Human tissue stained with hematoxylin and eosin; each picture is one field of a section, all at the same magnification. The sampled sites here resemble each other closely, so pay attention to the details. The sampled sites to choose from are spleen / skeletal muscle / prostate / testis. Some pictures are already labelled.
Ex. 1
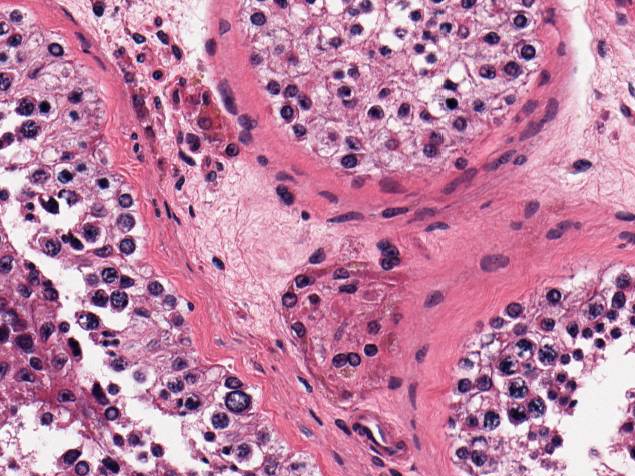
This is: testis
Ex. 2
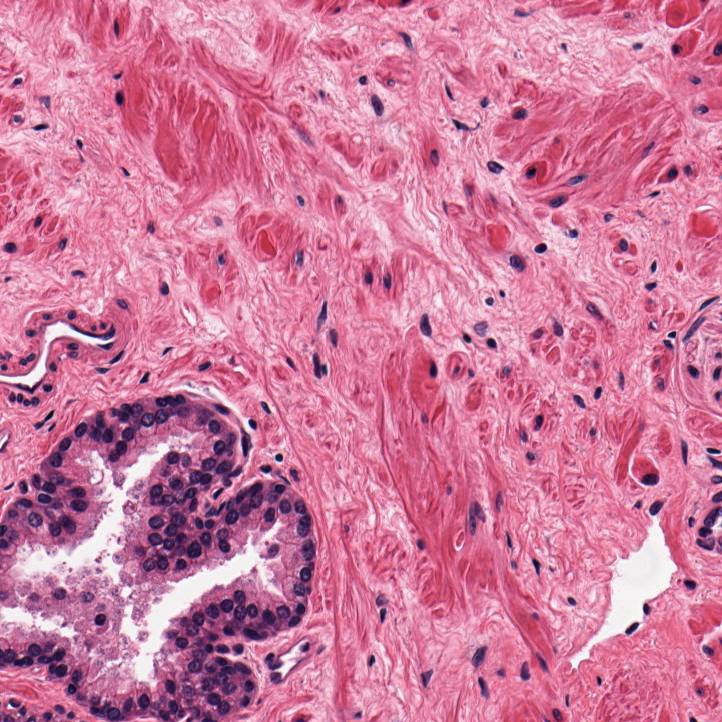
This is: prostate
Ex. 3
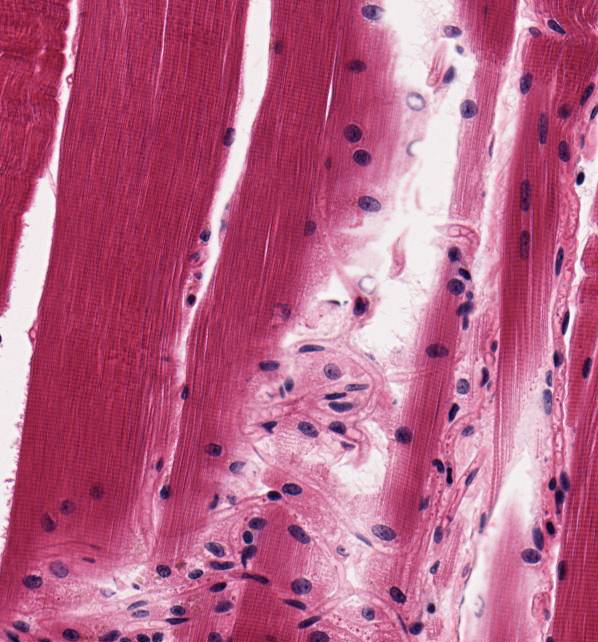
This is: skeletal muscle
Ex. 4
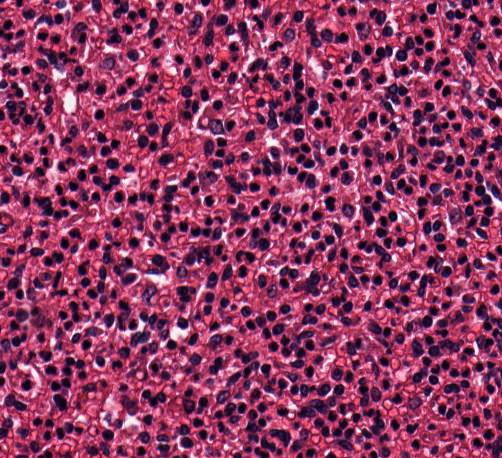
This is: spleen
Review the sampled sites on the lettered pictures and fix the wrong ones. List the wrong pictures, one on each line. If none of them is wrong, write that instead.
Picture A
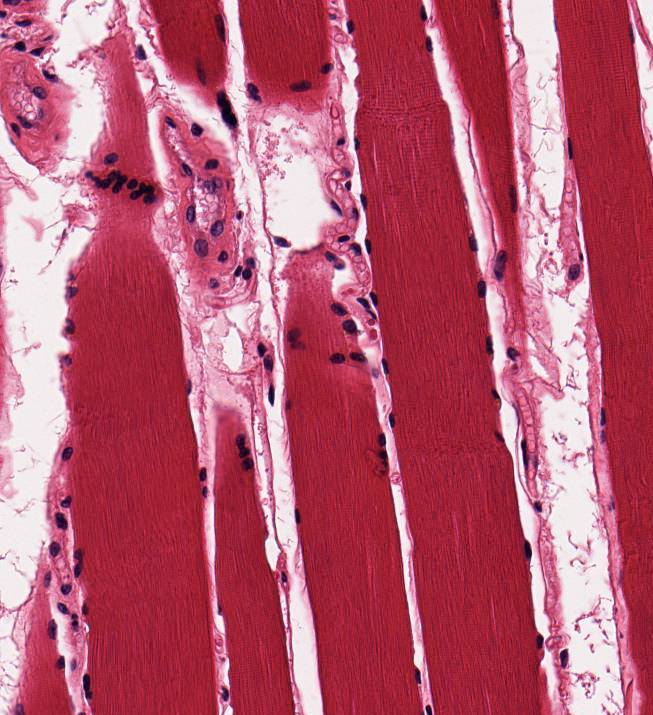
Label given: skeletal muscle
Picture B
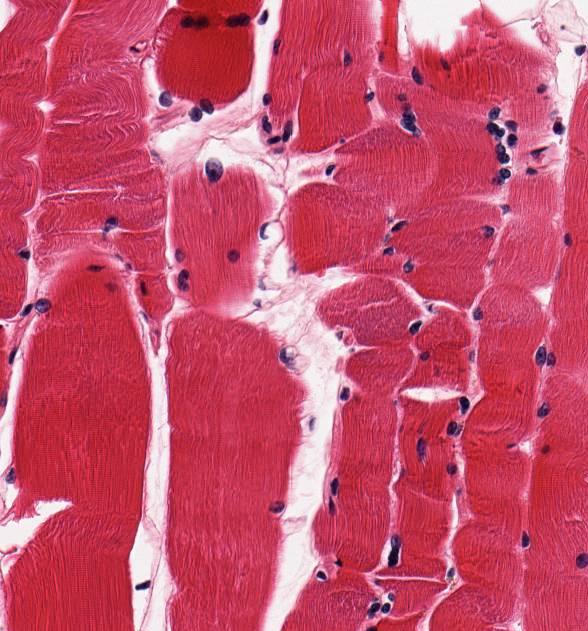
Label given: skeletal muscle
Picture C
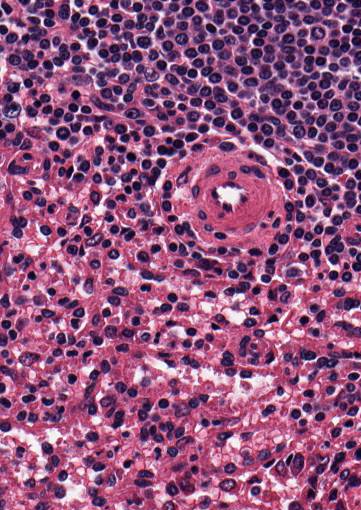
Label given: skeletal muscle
C: spleen, not skeletal muscle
